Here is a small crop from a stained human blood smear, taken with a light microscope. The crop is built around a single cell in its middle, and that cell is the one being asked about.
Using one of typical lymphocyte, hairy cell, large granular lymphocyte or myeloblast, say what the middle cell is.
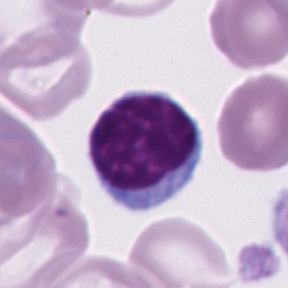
typical lymphocyte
